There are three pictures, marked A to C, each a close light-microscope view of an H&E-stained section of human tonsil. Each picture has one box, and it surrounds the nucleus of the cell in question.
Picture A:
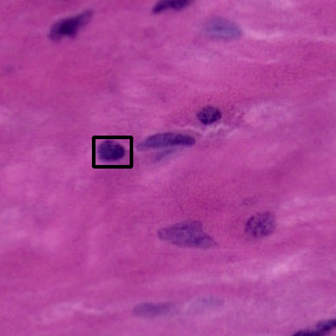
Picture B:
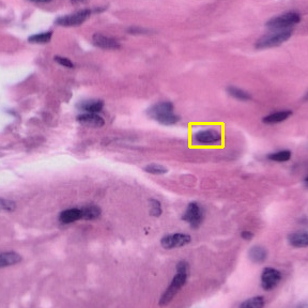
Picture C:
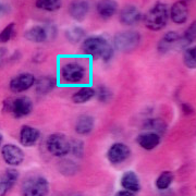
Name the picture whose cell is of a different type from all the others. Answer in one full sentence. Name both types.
The different one is picture C; it shows a plasma cell, whereas all the others show mast cells.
